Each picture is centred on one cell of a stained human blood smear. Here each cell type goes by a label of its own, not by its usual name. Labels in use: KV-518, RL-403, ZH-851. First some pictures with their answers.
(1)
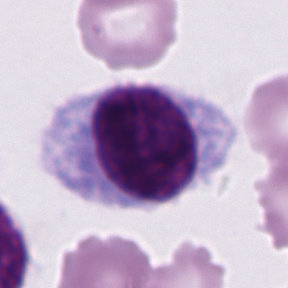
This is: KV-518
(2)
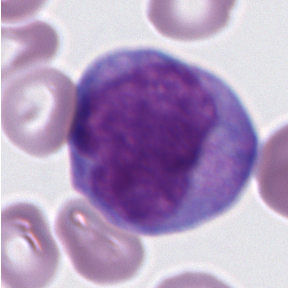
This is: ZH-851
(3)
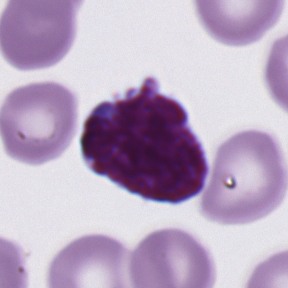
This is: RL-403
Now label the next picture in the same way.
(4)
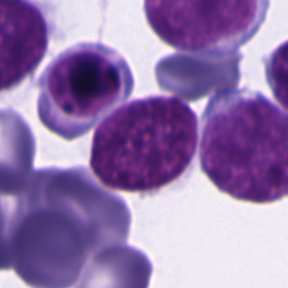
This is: RL-403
